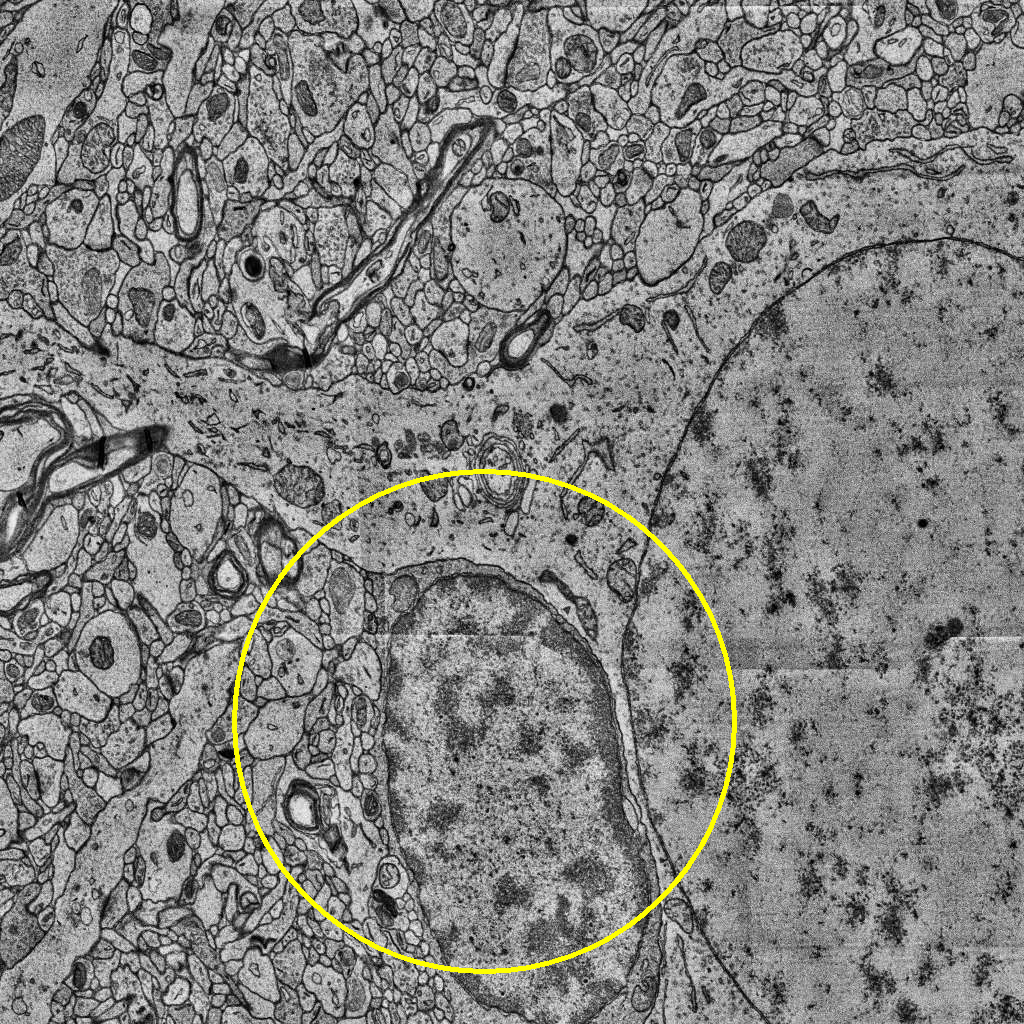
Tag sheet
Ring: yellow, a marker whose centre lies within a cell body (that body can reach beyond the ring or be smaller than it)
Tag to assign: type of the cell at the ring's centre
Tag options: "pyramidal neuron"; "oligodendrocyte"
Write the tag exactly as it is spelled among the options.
oligodendrocyte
